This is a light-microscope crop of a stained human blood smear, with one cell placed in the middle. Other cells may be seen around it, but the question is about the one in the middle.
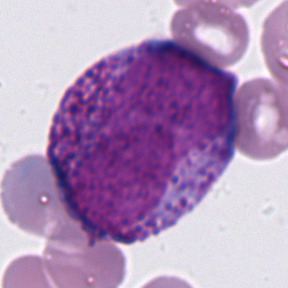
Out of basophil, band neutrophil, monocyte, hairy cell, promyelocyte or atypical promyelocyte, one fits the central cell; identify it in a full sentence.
What sits at the centre of this crop is a promyelocyte.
